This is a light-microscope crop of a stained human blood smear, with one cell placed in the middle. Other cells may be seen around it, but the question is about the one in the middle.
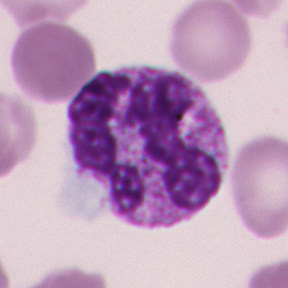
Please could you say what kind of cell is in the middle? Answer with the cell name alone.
segmented neutrophil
